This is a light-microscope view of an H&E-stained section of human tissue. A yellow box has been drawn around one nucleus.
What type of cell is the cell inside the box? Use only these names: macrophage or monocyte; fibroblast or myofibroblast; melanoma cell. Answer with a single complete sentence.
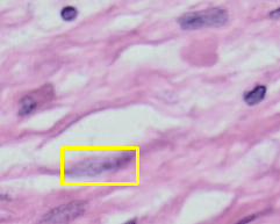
The cell meant here is a fibroblast or myofibroblast.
